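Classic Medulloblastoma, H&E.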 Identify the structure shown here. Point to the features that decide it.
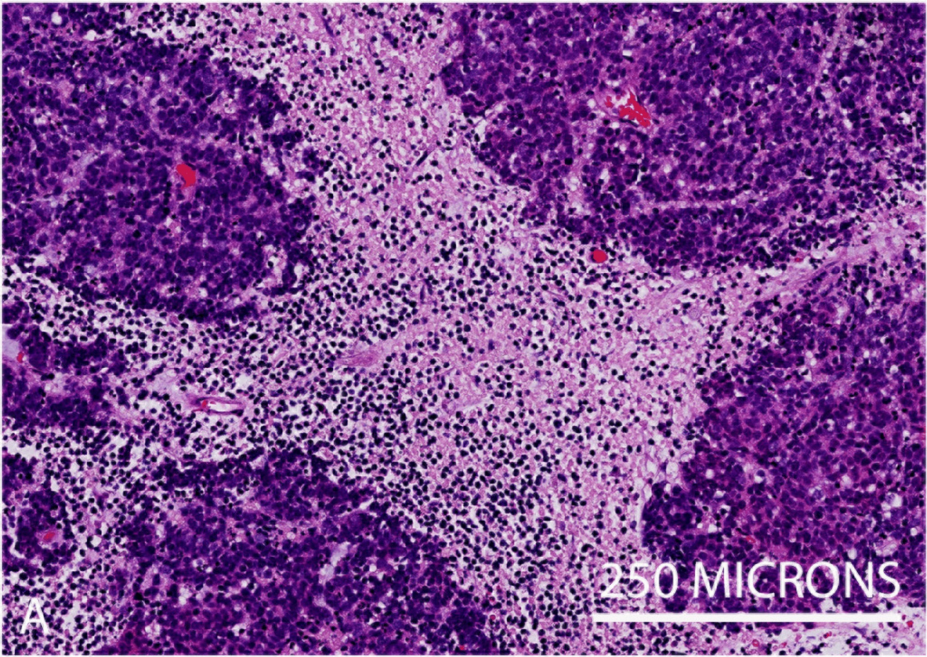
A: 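Sheets and vague lobules. Densely packed dark-blue cells form broad sheets. The dense cell masses are loosely grouped into rounded, lobule-like clusters separated by paler tissue.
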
